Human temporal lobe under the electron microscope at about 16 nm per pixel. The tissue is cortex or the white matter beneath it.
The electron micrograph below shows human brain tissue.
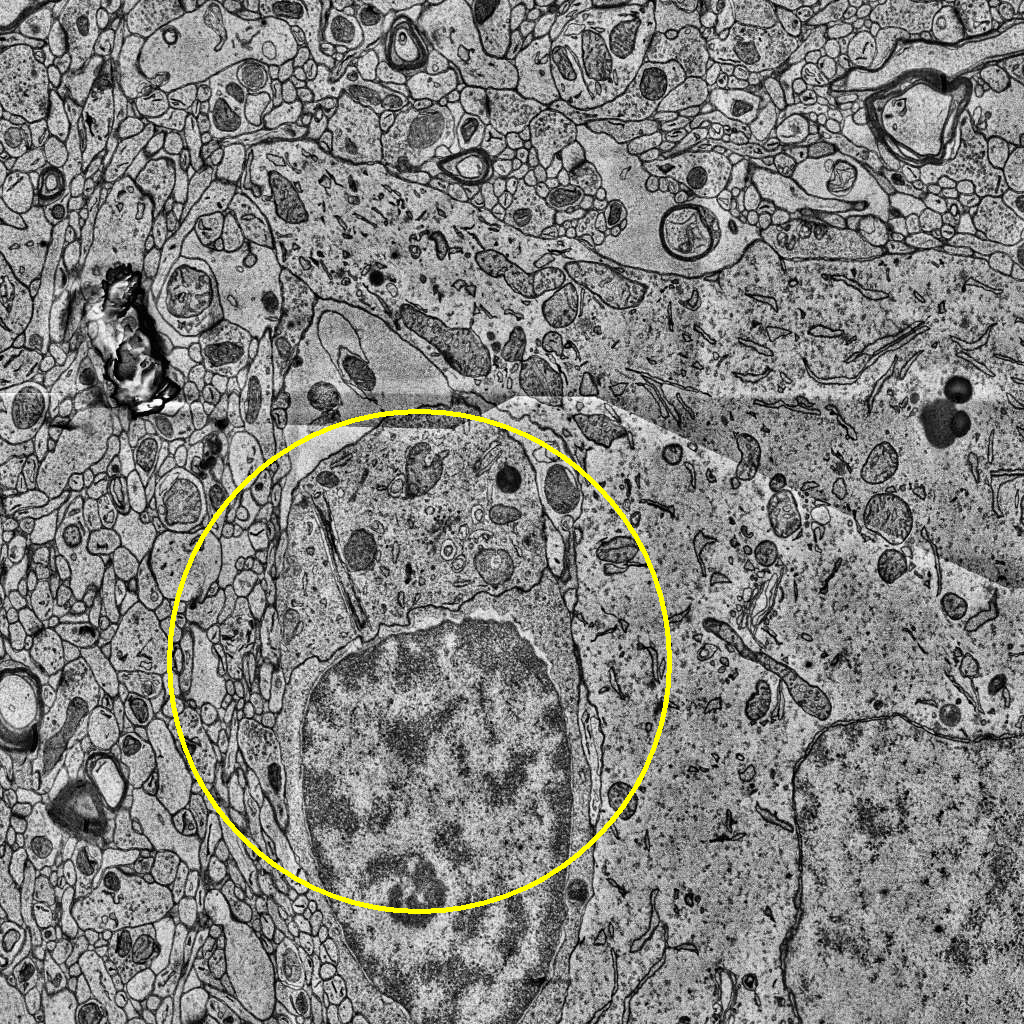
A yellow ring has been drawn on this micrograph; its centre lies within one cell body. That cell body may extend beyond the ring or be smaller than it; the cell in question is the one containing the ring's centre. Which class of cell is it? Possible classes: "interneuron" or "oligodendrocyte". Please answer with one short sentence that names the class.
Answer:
In the centre of the ring sits an oligodendrocyte.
